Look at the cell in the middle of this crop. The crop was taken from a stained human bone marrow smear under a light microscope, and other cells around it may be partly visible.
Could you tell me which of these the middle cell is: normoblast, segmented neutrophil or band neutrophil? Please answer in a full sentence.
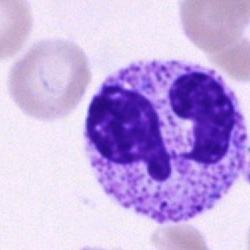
The cell nearest the centre of this crop is a segmented neutrophil.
